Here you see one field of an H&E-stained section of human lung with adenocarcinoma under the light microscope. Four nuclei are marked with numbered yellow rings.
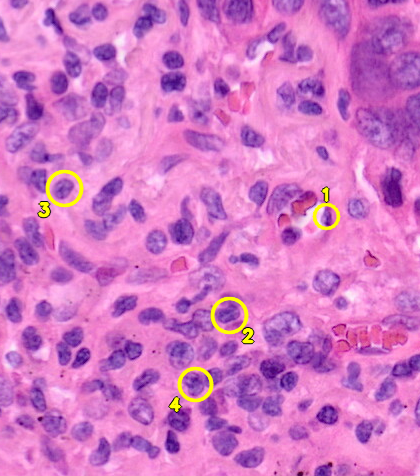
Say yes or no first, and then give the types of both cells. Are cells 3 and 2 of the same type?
Yes, cells 3 and 2 are both counted as lymphocytes.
